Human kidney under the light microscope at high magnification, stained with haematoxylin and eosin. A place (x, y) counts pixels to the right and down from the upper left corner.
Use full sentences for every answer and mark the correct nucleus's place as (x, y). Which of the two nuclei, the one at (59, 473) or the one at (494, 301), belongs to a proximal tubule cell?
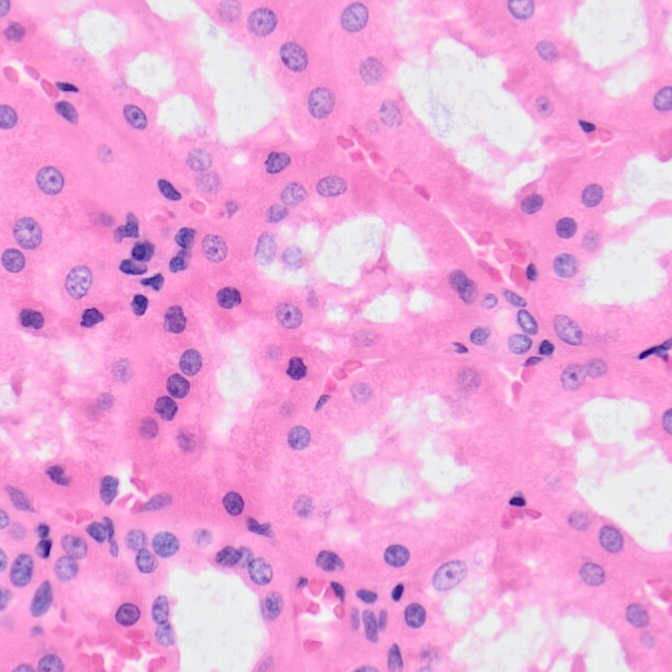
The nucleus at (59, 473) is the one that belongs to a proximal tubule cell.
